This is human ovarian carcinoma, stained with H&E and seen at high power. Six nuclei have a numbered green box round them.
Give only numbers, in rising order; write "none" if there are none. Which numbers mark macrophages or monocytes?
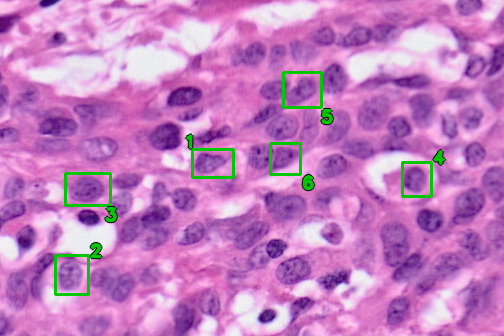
1, 2, 4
